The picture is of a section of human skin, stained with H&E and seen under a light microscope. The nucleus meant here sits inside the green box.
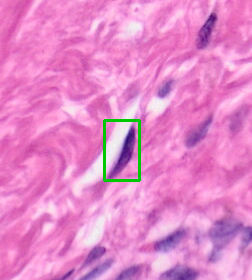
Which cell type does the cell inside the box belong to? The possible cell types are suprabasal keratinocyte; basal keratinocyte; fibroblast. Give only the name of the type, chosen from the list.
fibroblast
